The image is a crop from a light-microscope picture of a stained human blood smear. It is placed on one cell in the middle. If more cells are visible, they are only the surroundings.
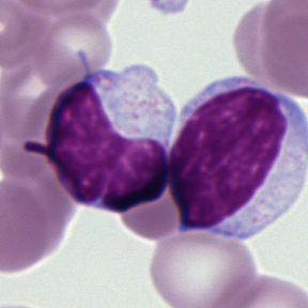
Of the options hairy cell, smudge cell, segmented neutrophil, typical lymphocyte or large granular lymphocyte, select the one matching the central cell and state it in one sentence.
The central element of this crop is a cell, namely a large granular lymphocyte.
